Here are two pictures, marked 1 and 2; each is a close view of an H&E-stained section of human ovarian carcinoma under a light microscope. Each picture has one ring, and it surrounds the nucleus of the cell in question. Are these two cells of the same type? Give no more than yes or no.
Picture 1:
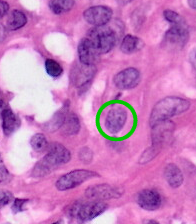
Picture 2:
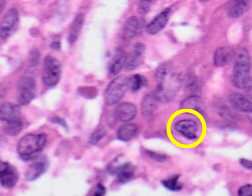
yes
